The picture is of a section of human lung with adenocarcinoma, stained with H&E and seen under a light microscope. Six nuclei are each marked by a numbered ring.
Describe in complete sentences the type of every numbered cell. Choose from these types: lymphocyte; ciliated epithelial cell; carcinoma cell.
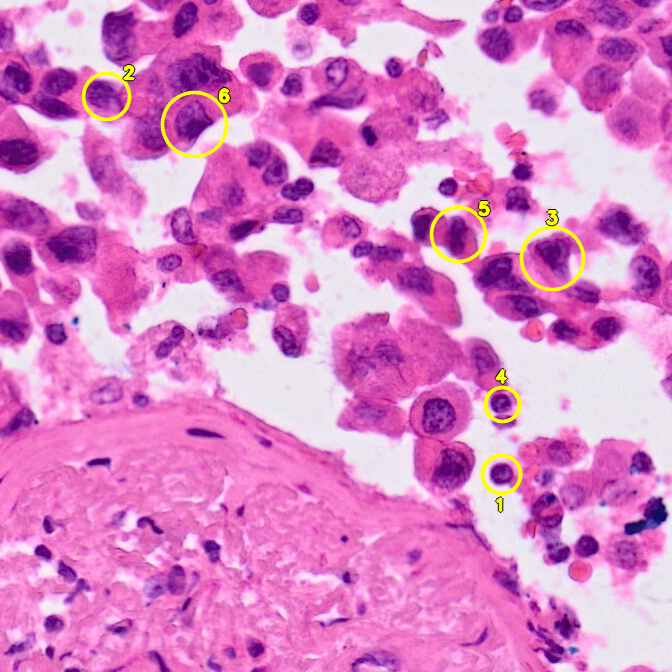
Cells 1 and 4 are lymphocytes. Cells 2, 3, 5 and 6 are carcinoma cells.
